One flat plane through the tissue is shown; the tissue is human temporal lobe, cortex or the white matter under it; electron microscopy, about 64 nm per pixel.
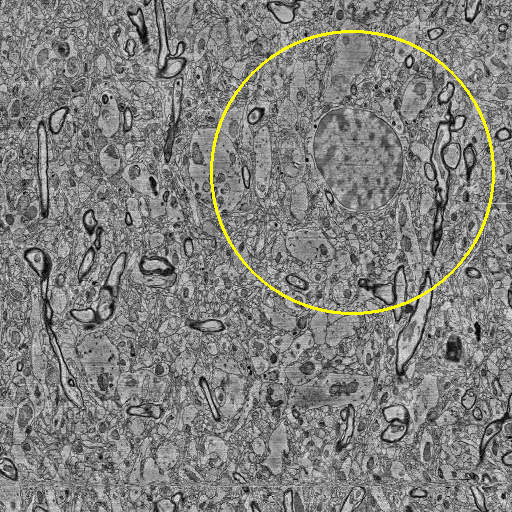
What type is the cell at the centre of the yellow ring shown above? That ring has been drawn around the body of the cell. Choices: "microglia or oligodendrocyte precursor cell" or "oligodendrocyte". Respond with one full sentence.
My answer is that a microglial cell or oligodendrocyte precursor cell lies at the centre of the yellow ring above.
